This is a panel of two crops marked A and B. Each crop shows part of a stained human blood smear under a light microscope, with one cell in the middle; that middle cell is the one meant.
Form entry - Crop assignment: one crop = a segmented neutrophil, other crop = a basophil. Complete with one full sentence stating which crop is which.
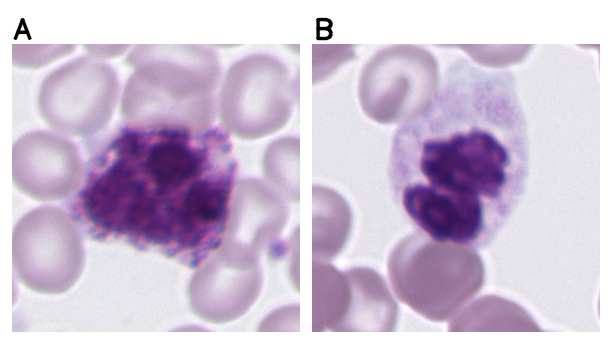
Crop B contains a segmented neutrophil, whereas crop A contains a basophil.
